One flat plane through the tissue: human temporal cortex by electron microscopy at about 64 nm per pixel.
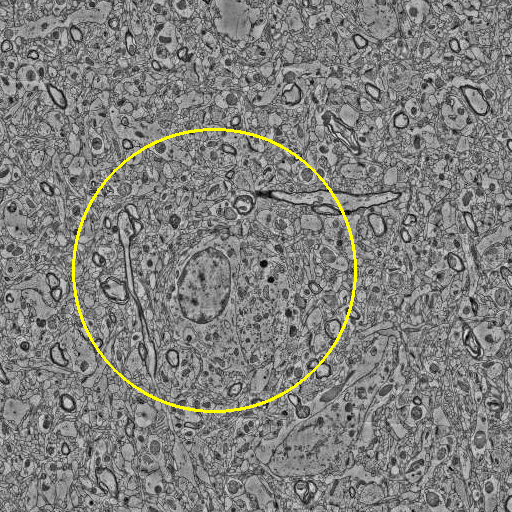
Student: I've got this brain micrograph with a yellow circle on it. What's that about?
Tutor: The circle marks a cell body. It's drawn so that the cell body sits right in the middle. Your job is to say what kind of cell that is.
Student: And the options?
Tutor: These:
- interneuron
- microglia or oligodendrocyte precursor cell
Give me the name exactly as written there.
microglia or oligodendrocyte precursor cell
